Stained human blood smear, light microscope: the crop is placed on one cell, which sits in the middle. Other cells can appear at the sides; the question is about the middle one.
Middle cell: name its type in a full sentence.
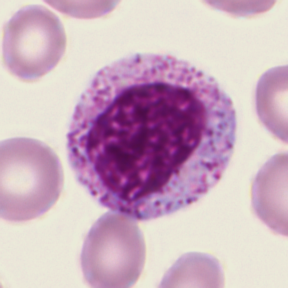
The centrally located cell in the crop is a metamyelocyte.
